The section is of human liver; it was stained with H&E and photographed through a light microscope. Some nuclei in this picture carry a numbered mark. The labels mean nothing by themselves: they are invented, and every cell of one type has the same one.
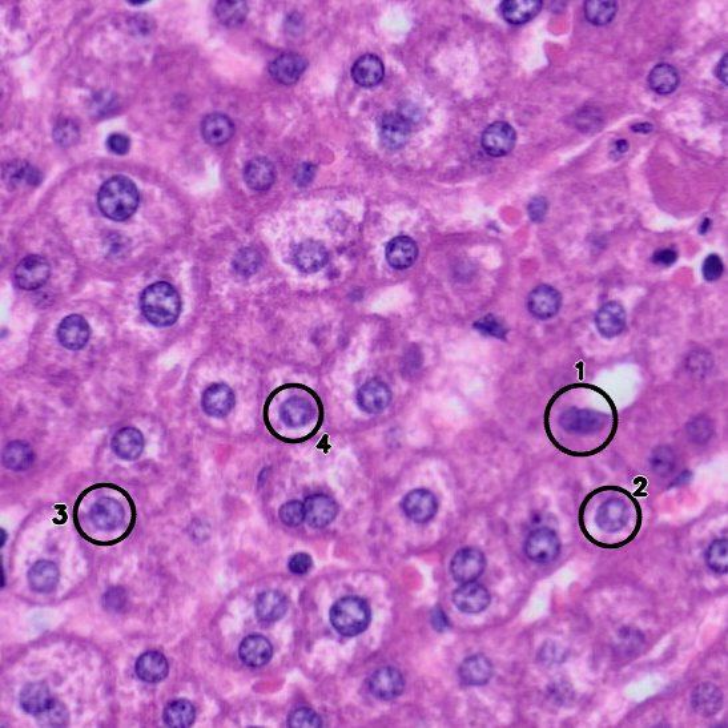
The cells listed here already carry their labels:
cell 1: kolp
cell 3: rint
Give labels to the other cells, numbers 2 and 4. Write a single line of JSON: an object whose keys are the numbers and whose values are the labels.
{"2": "rint", "4": "rint"}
